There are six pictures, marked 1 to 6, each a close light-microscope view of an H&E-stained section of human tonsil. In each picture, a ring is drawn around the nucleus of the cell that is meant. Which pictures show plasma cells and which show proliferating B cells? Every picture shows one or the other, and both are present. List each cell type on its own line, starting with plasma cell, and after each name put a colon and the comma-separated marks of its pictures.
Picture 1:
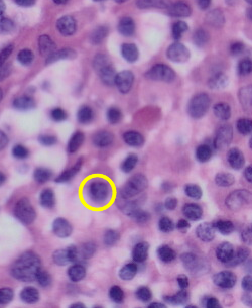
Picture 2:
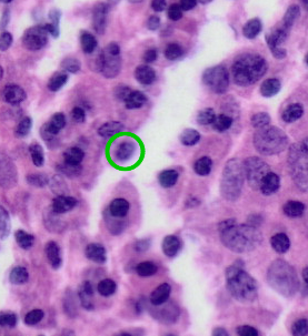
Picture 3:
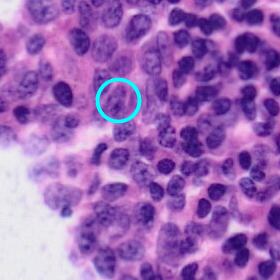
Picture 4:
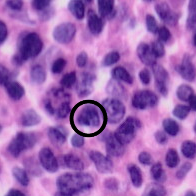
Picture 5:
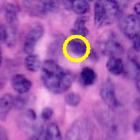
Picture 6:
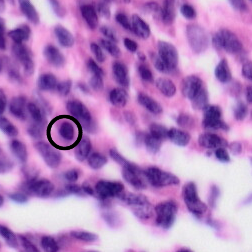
plasma cell: 1, 2
proliferating B cell: 3, 4, 5, 6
